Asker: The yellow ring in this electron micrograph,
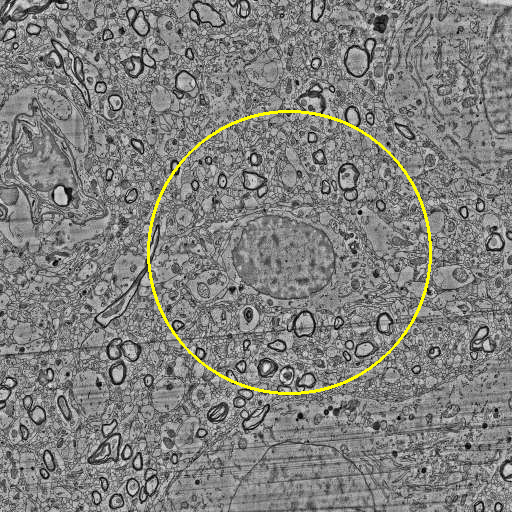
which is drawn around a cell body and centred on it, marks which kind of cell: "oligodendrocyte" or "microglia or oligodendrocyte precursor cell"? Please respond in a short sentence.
The marked cell is an oligodendrocyte.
